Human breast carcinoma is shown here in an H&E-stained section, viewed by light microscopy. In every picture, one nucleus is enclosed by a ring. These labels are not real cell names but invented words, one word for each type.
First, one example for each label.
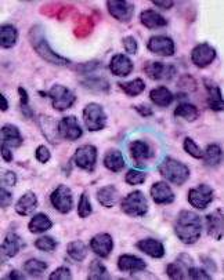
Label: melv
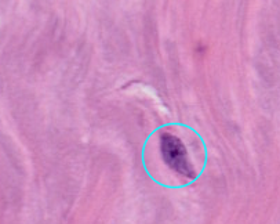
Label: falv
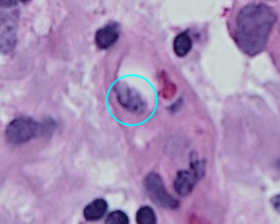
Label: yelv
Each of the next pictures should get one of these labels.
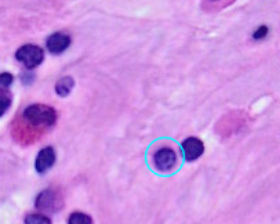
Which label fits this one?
melv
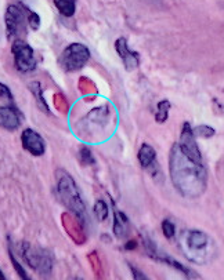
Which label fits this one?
yelv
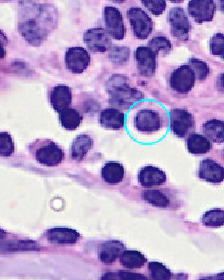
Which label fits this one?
melv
